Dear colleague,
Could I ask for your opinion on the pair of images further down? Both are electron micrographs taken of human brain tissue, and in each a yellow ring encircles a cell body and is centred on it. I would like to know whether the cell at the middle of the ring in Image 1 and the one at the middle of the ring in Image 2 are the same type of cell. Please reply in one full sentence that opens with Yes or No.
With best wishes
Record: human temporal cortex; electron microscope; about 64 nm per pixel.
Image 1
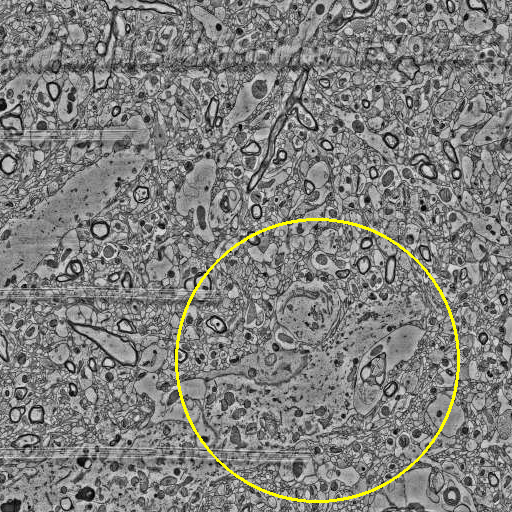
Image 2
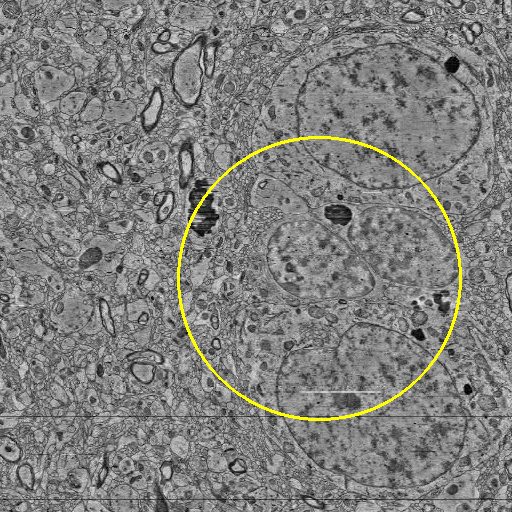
Yes, the cells at the ring centres in Image 1 and Image 2 are of one type.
